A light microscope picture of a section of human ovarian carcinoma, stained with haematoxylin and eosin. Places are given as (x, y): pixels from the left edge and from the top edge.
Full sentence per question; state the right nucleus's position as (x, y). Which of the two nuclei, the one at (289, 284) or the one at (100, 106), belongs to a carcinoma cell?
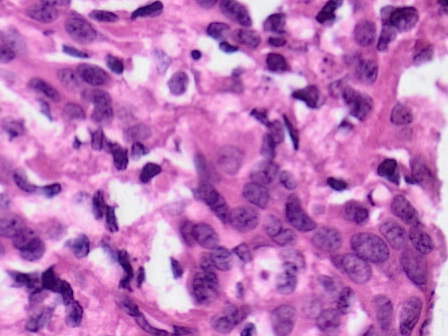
Identified as belonging to a carcinoma cell is the nucleus at (100, 106).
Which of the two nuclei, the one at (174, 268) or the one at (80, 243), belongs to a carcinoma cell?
The nucleus of a carcinoma cell lies at (174, 268), not at the other position.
